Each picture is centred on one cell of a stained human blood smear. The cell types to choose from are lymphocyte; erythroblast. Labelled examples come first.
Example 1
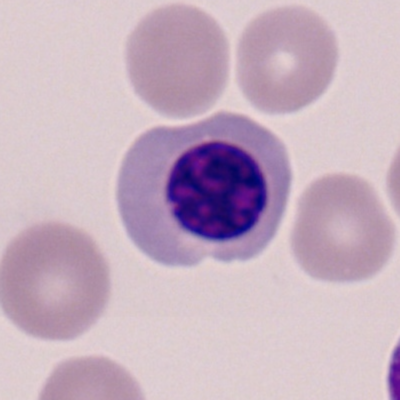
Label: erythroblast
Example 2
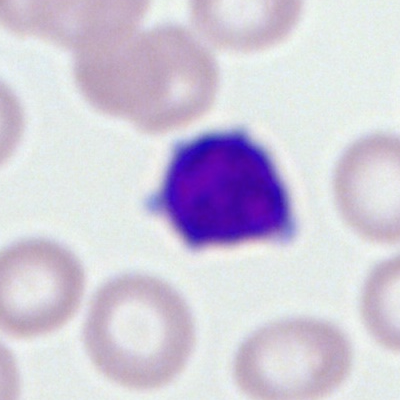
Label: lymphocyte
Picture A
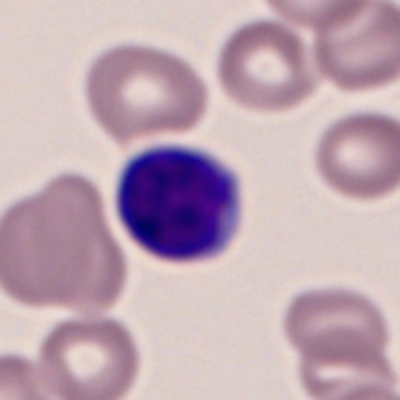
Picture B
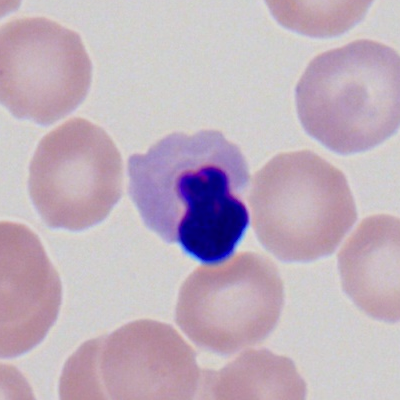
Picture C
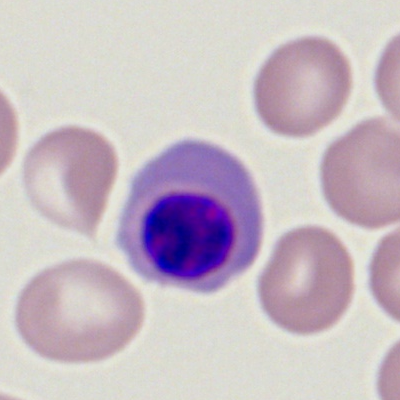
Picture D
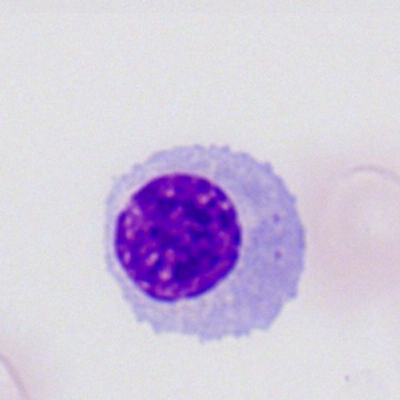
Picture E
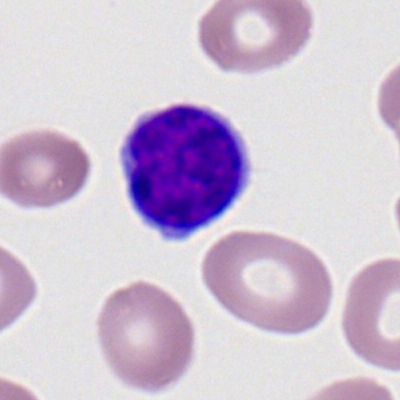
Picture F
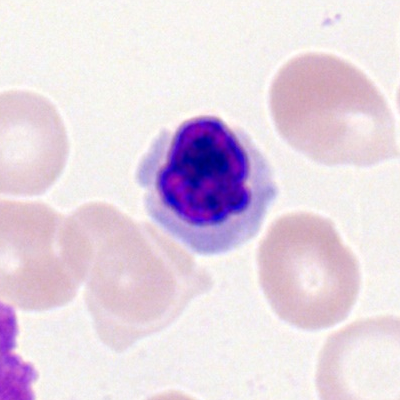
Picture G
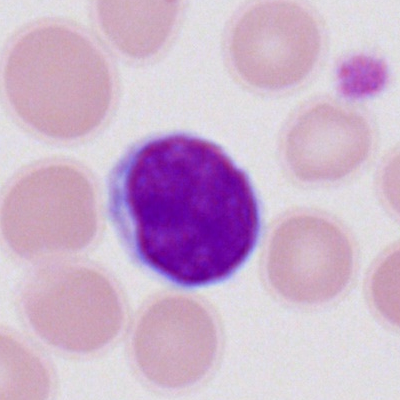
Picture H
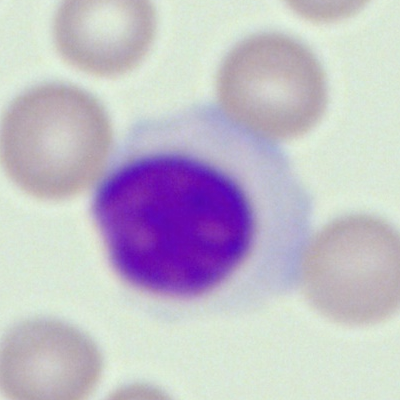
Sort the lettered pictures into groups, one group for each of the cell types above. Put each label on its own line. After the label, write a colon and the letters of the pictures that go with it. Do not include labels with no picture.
lymphocyte: A, E, G, H
erythroblast: B, C, D, F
